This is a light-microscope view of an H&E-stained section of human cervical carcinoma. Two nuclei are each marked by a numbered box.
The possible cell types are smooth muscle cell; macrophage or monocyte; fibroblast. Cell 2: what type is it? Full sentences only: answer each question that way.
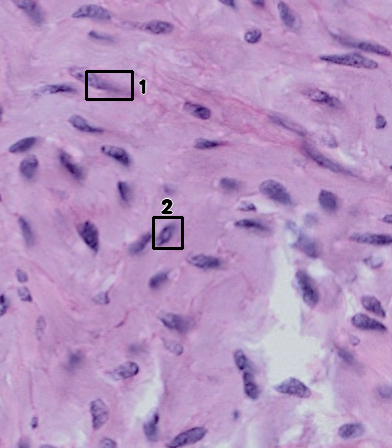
Number 2 is placed on a fibroblast here.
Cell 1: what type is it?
Denoted by the label 1 in the section is a smooth muscle cell.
